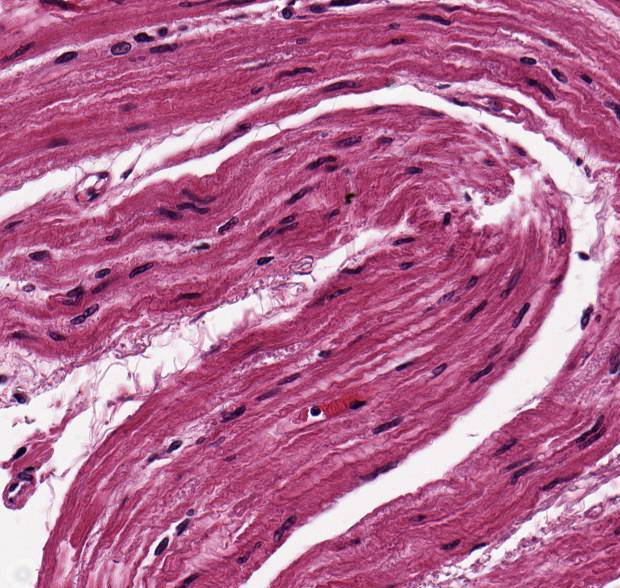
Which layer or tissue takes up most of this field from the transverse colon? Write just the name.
smooth muscle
